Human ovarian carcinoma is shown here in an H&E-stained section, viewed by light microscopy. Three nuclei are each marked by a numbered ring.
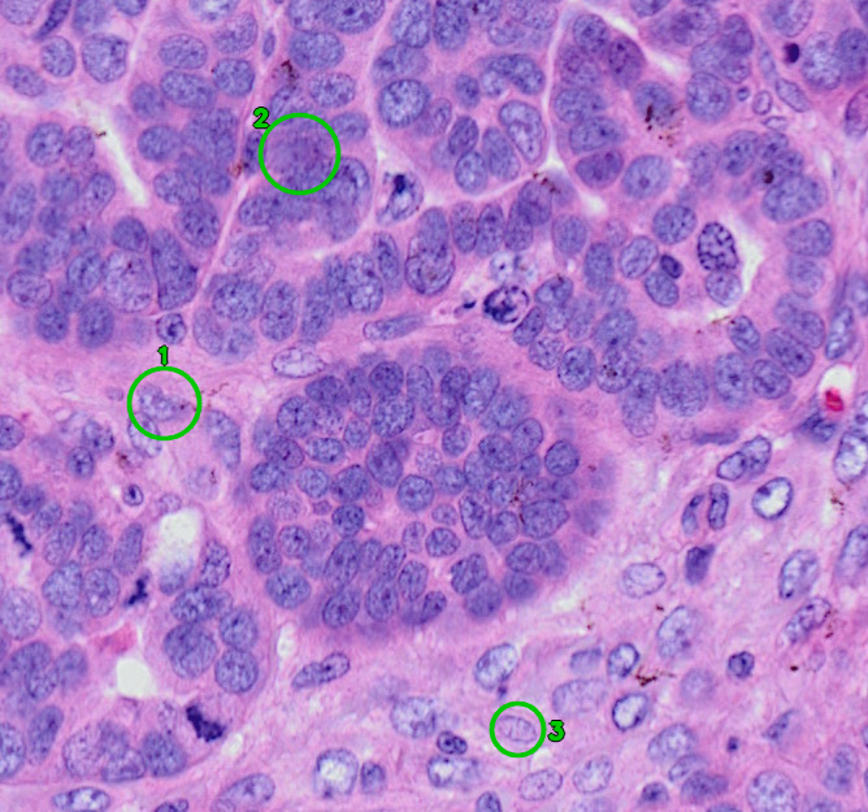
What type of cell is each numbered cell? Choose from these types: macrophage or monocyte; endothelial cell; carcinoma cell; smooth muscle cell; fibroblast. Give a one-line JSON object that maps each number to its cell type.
{"1": "fibroblast", "2": "carcinoma cell", "3": "fibroblast"}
